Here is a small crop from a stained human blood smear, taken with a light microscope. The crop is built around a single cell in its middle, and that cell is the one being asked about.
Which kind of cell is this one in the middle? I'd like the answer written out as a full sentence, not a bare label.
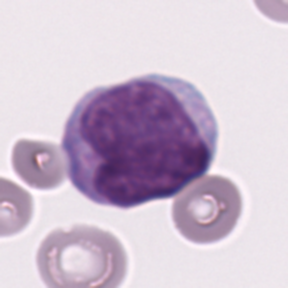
At the middle of the frame sits an atypical promyelocyte.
